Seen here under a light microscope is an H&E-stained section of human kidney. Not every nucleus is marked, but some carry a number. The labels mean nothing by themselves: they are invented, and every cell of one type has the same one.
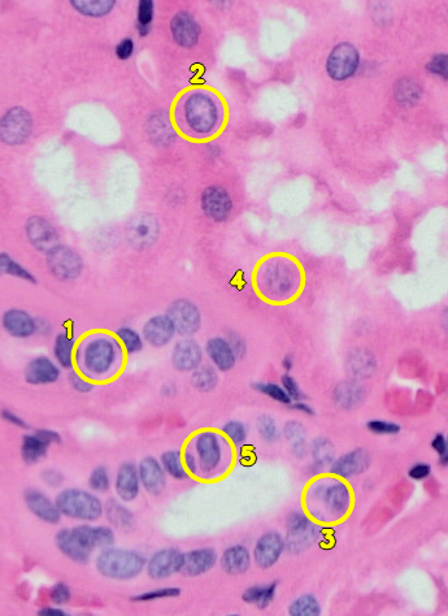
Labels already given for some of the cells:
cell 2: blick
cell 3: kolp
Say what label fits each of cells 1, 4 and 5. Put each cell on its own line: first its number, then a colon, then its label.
1: kolp
4: blick
5: kolp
